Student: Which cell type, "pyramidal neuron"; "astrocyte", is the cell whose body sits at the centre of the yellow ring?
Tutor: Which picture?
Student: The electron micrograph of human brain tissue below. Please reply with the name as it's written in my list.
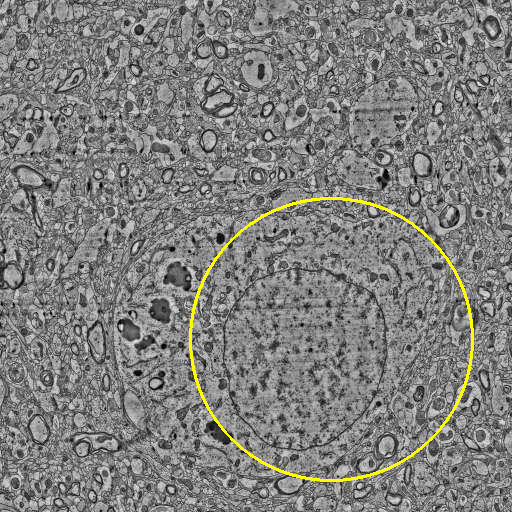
pyramidal neuron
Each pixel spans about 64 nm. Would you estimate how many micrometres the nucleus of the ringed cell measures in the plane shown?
In this plane the ringed cell's nucleus is roughly 11 micrometres across.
